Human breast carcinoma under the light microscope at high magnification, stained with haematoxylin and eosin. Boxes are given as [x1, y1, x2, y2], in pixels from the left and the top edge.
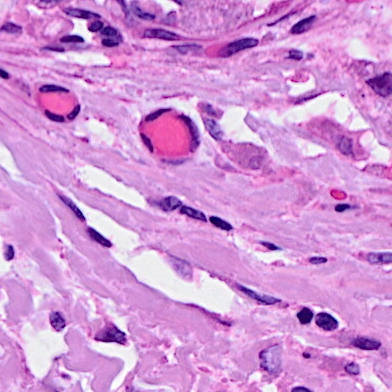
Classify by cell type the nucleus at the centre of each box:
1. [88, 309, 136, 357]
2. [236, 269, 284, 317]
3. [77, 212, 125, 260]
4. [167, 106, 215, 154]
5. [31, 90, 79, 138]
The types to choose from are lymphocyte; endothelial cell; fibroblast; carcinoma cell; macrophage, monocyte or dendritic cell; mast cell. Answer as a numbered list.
1. fibroblast
2. fibroblast
3. fibroblast
4. endothelial cell
5. endothelial cell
